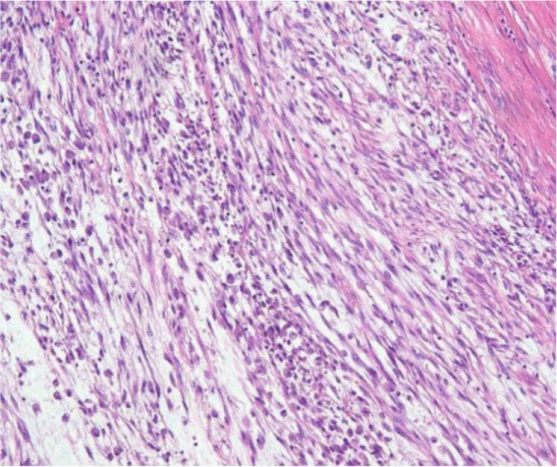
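Here the tumor is more cellular, with spindle cells and plumper epithelioid cells arranged in streaming fascicles. The nuclei are dark purple, some elongated and some rounder and larger. Small round dark lymphocytes are mixed in among them, clustering in places. A band of pink, fibrous tissue runs along the upper right corner.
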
